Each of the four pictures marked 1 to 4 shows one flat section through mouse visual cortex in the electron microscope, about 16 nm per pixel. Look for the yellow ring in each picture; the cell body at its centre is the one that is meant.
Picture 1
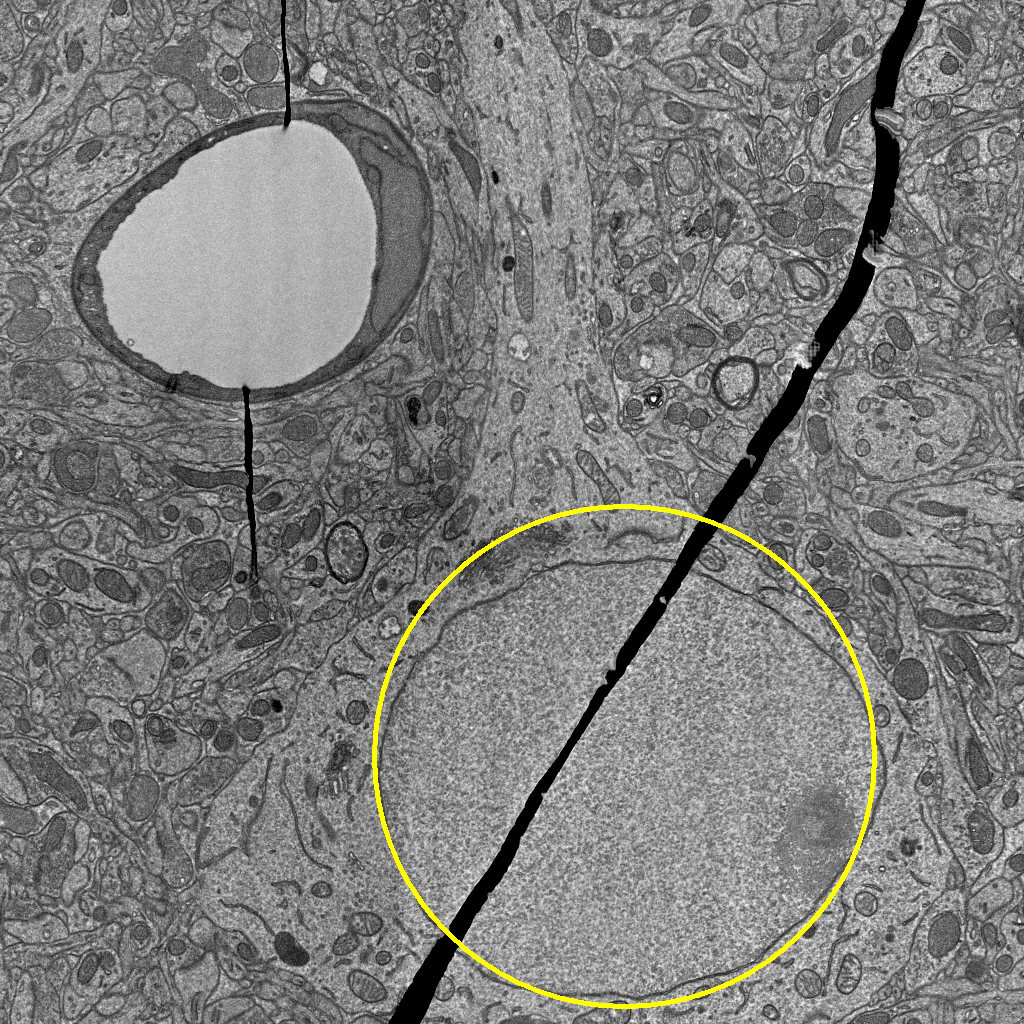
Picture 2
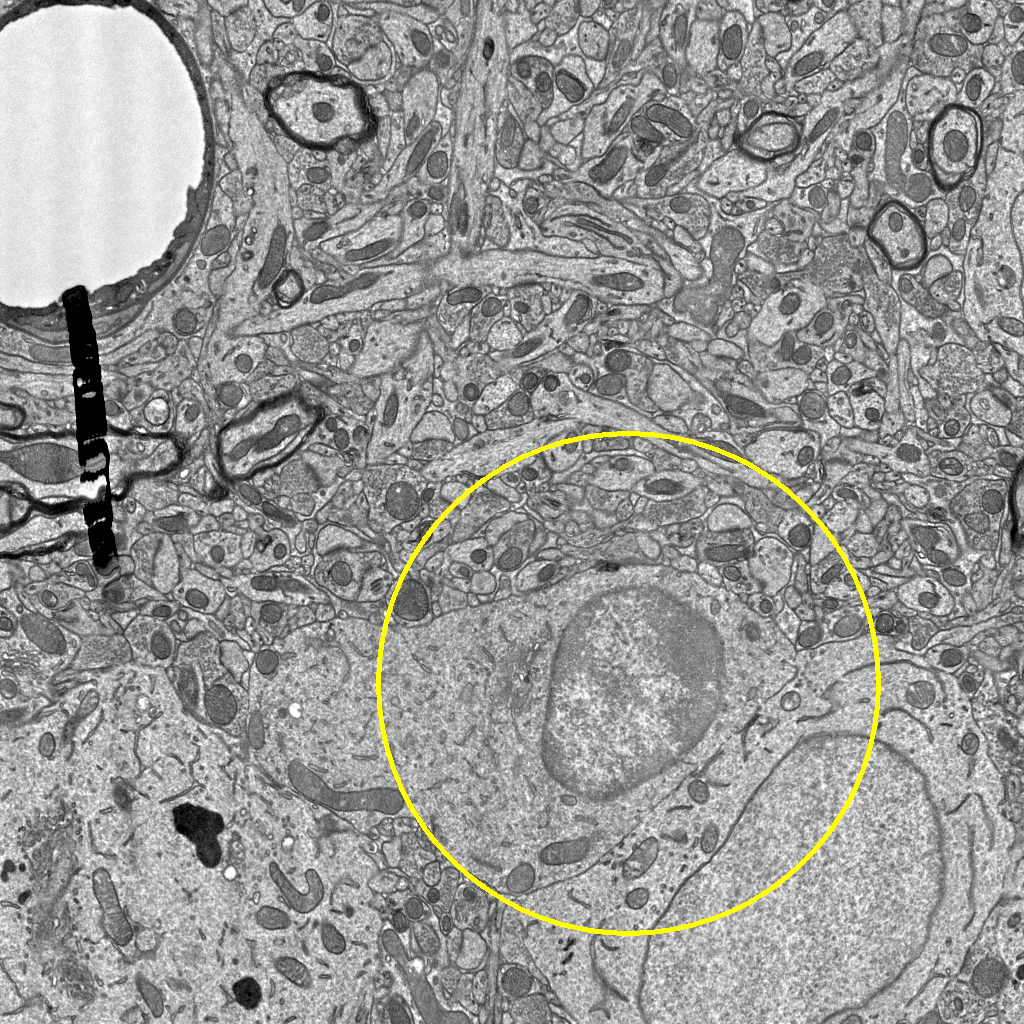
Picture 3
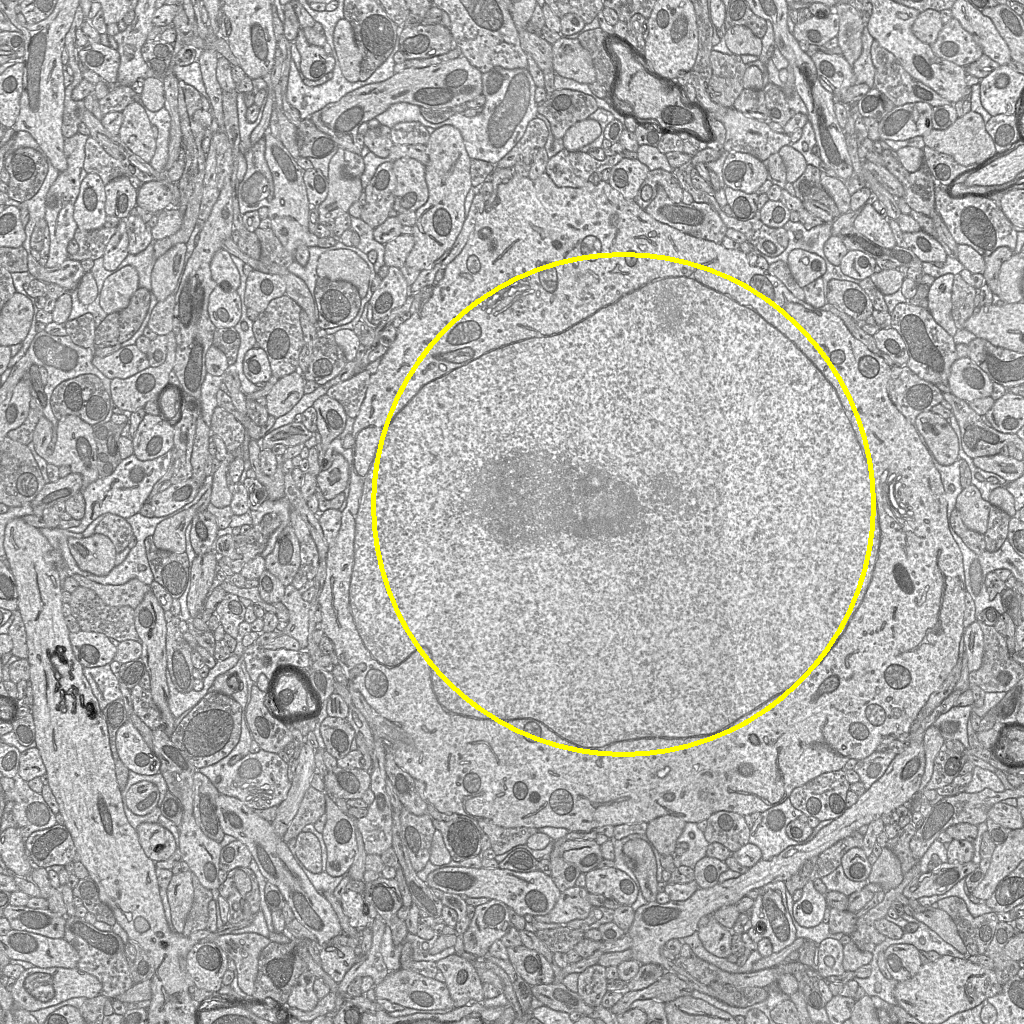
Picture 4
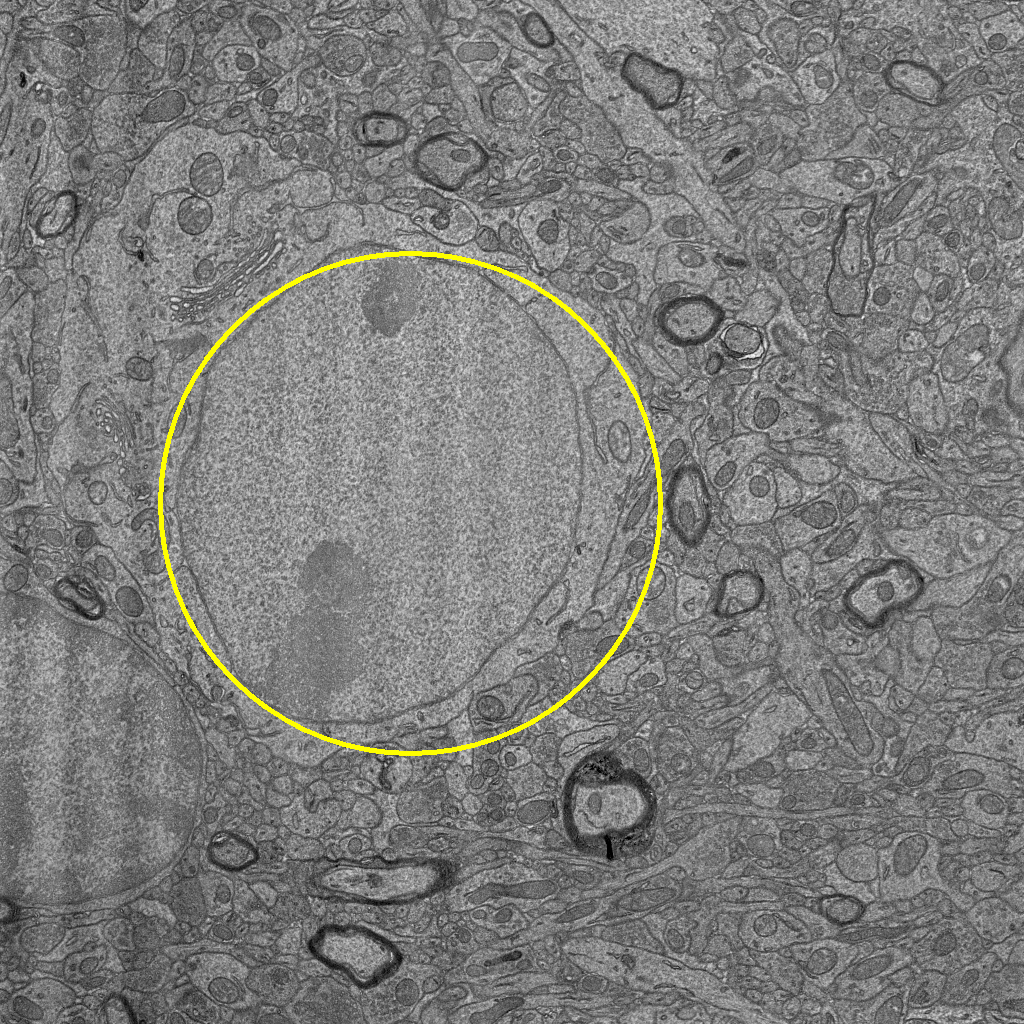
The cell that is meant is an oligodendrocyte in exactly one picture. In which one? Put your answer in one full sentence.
Picture 2 is the one that shows the oligodendrocyte.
